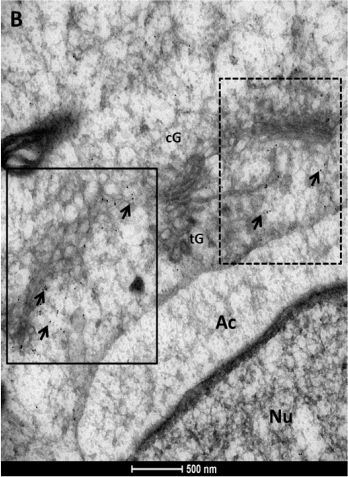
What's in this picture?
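A round spermatid nucleus with dense rim is capped by a wide pale acrosome, and between the acrosome and the cytoplasm sits a stacked Golgi apparatus with flattened cisternae and clusters of small vesicles. Fine black dots gather on the side of the Golgi stack that faces the acrosome and in the space between them, fewer on the far side.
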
